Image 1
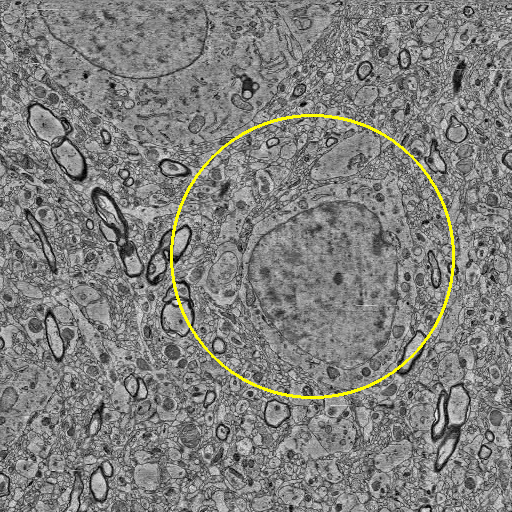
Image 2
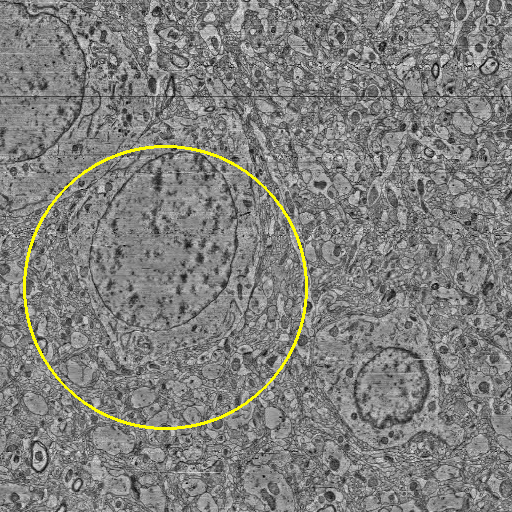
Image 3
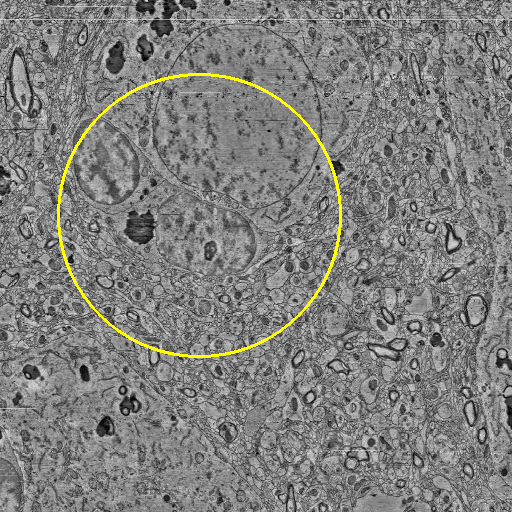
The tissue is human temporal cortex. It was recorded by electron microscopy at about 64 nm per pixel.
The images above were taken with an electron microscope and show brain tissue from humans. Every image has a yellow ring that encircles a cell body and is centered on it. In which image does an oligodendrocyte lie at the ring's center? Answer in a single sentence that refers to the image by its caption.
In Image 3, the cell at the center of the yellow ring is the correct match.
